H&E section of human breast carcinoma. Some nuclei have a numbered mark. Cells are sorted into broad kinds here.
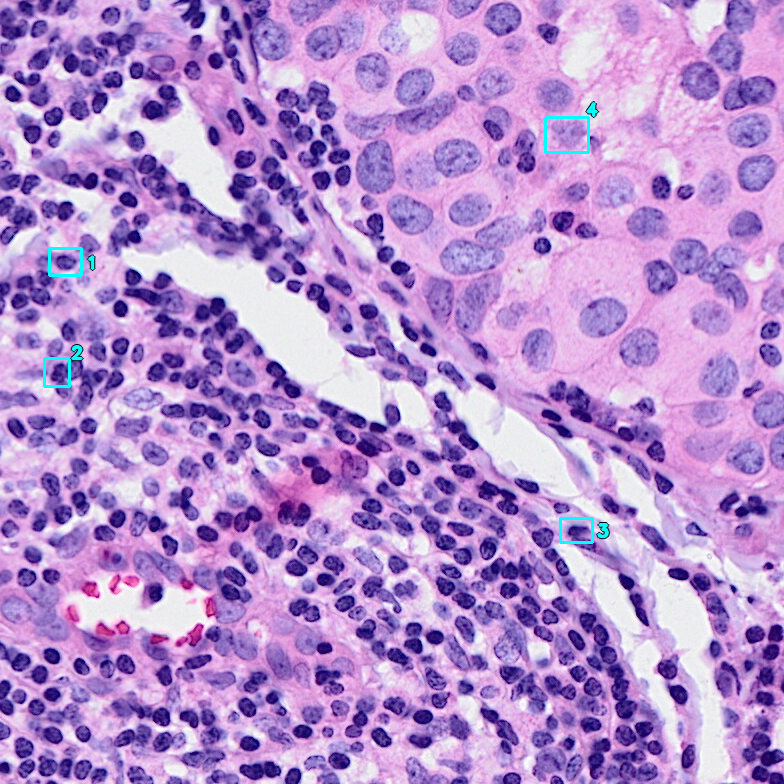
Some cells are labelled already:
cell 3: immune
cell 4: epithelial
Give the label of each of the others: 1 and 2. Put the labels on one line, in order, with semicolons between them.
immune; immune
